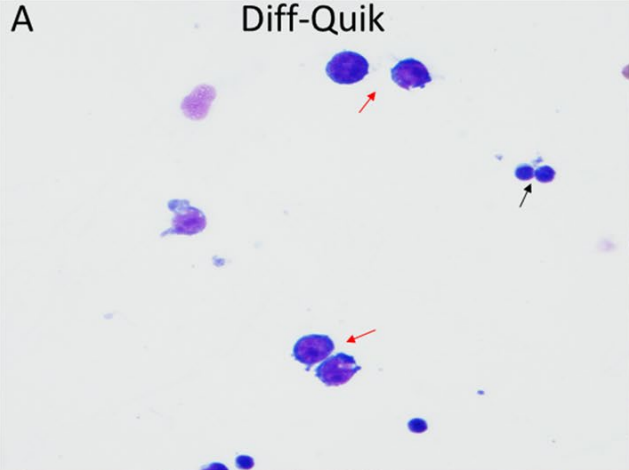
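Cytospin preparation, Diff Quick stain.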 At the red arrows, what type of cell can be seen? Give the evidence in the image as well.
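Large, atypical lymphocytes. The marked cells are much larger than the small dark round cells nearby. Their nuclei fill most of the cell, leaving a thin rim of blue cytoplasm. The nuclear outlines are uneven rather than smoothly round.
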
